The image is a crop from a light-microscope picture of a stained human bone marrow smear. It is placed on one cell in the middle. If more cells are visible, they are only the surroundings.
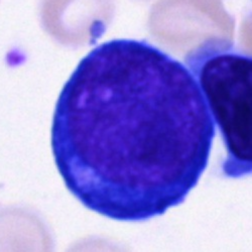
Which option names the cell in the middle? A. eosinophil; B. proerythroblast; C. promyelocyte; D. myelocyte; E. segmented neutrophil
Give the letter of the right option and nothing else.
B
